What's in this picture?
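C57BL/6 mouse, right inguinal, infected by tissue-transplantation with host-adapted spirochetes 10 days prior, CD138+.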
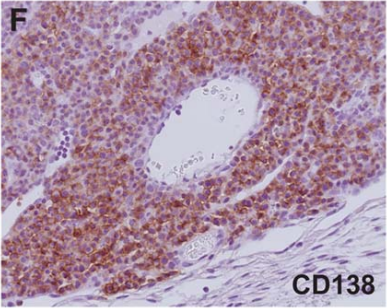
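This is lymph node medulla with many plasma cells stained brown. The brown cells are tightly packed in cords surrounding a central vessel whose lumen holds a few red blood cells. Fewer unstained cells with blue nuclei lie among them and in the loose connective tissue at the lower edge.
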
